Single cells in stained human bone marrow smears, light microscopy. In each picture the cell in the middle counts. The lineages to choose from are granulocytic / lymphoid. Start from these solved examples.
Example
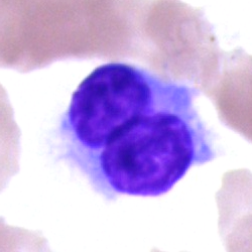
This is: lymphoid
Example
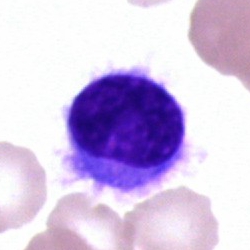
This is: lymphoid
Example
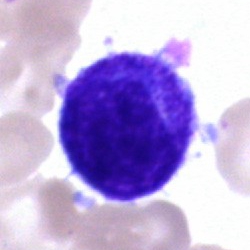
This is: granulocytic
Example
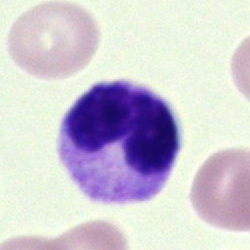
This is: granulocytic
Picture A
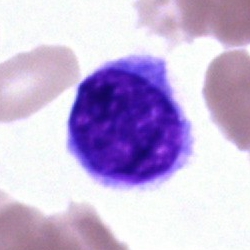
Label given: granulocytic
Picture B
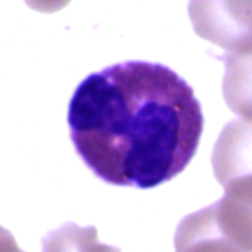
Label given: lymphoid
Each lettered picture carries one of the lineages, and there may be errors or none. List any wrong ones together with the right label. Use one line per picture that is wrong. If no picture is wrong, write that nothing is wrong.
A is labelled granulocytic; correct label: lymphoid
B is labelled lymphoid; correct label: granulocytic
